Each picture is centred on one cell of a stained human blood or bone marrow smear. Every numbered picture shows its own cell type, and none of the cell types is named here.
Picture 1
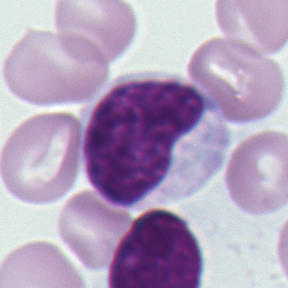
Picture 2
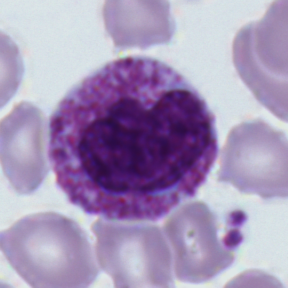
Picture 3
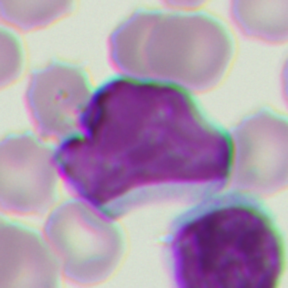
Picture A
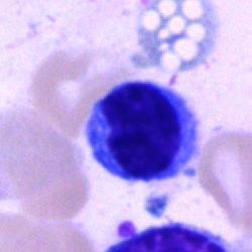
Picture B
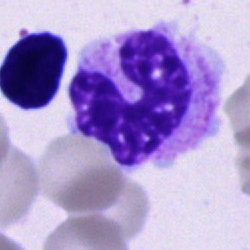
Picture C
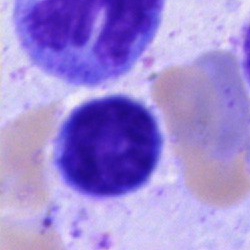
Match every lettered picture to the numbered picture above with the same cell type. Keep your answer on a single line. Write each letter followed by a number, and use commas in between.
A 3, B 1, C 3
